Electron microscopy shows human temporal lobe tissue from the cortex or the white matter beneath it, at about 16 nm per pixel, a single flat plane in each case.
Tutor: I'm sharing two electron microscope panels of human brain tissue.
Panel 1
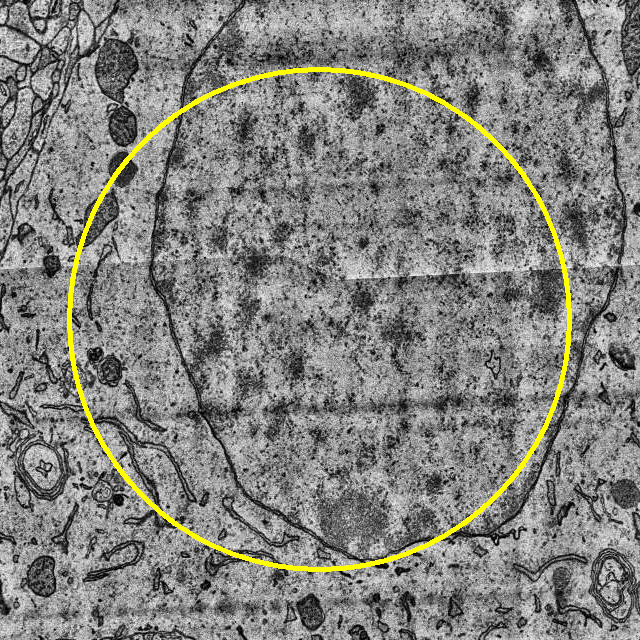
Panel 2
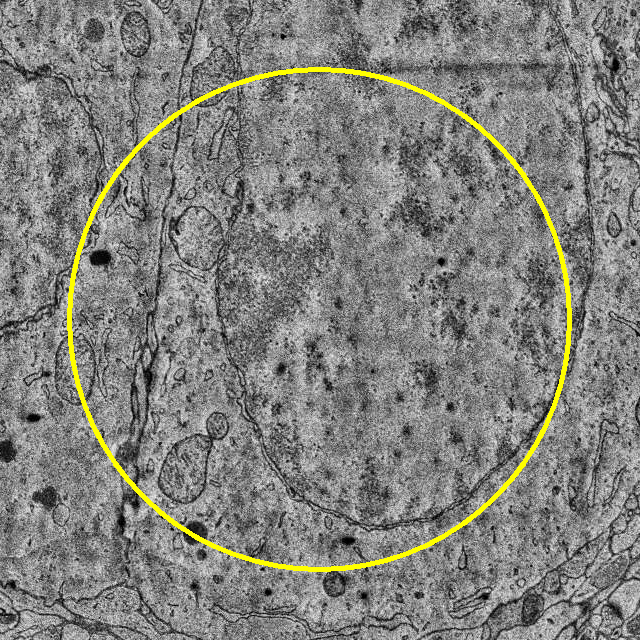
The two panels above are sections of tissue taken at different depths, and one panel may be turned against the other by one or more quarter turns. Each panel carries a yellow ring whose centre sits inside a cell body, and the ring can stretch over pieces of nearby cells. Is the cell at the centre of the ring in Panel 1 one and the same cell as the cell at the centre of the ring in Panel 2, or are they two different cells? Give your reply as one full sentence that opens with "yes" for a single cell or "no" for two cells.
No, two cells, not one, are marked by the yellow rings.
